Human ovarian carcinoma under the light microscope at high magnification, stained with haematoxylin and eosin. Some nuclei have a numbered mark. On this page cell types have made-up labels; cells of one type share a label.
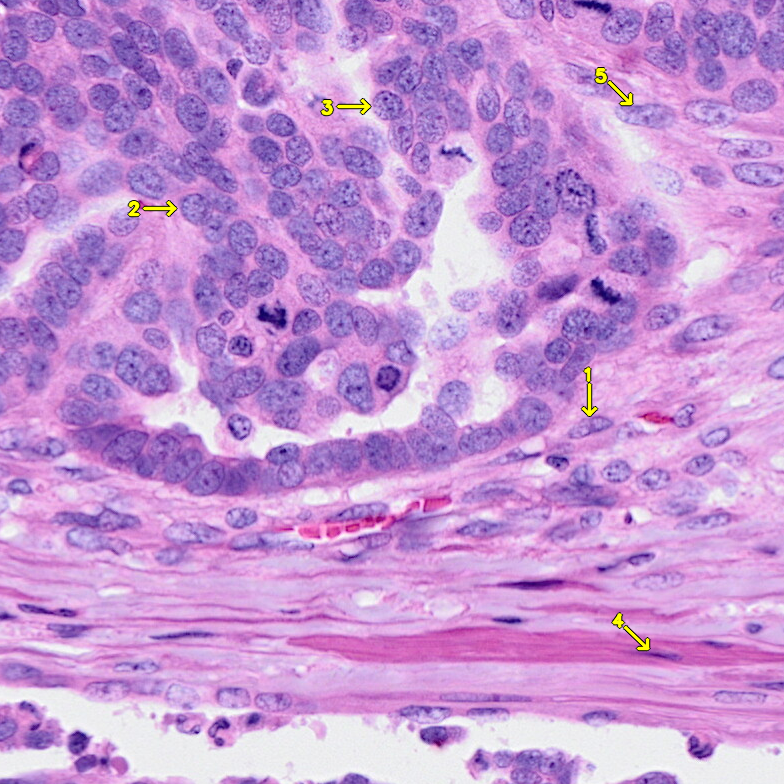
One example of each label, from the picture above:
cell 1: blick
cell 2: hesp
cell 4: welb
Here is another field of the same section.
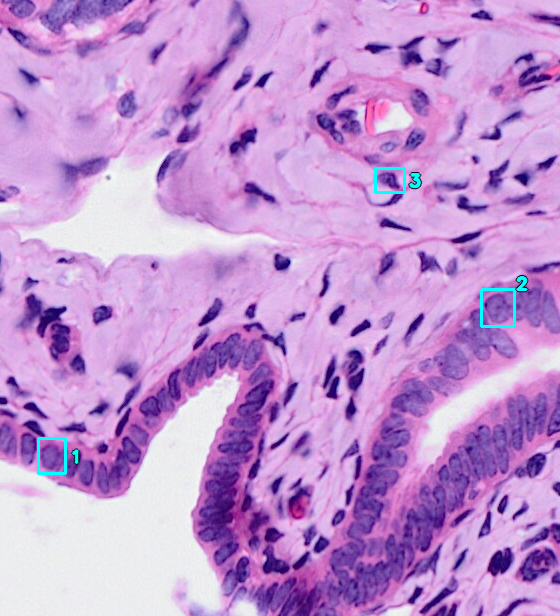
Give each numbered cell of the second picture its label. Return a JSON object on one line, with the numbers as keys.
{"1": "hesp", "2": "hesp", "3": "welb"}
